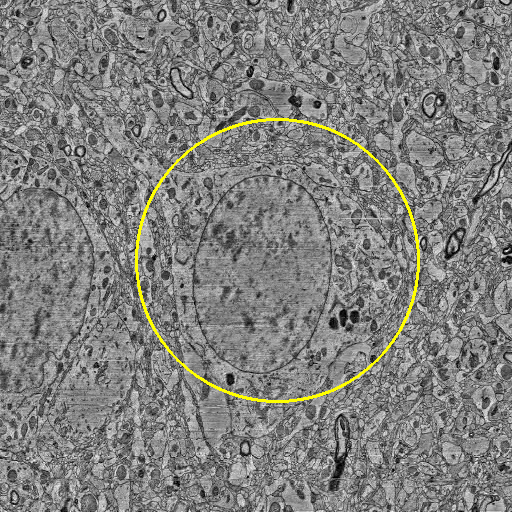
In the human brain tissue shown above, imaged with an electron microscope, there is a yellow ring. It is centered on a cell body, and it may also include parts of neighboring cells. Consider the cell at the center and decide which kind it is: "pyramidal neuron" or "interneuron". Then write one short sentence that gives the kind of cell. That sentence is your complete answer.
This centered cell body is that of a pyramidal neuron.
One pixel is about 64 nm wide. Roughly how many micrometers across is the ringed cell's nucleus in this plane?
In this plane, roughly 13 by 9 micrometres.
